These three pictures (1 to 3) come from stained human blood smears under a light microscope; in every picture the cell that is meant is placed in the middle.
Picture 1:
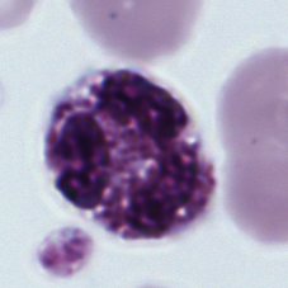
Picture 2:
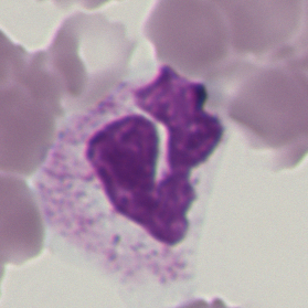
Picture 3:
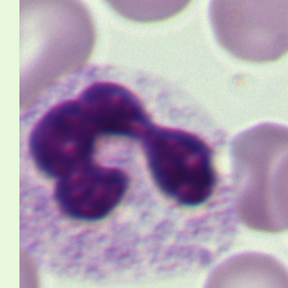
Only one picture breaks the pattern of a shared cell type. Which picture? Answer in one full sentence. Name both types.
Picture 1 is the odd one out: it shows an eosinophil, while the others show segmented neutrophils.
